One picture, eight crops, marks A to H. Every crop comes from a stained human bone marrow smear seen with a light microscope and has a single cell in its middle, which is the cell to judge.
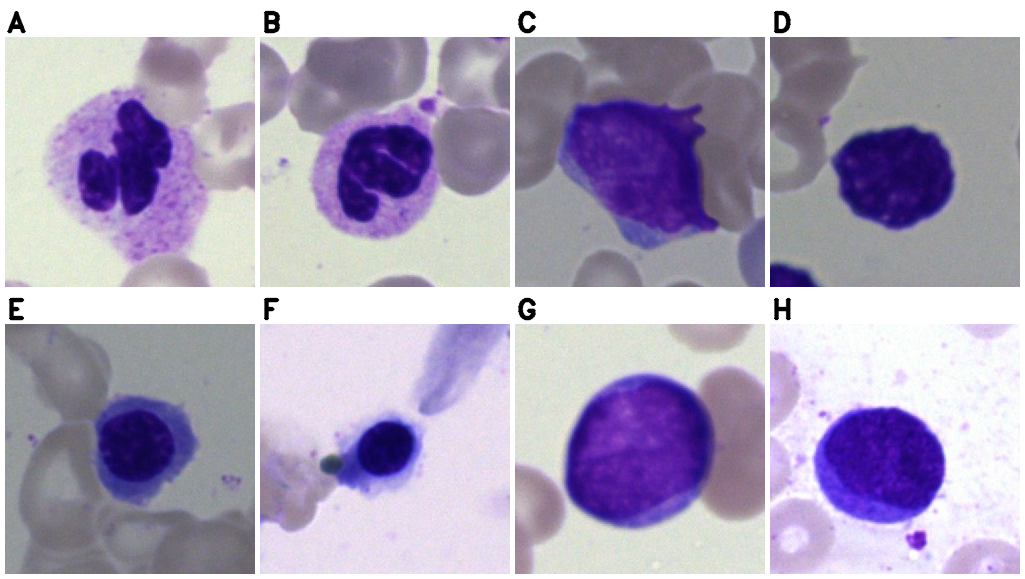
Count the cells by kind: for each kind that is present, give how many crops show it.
blast: 4
segmented neutrophil: 2
erythroblast: 2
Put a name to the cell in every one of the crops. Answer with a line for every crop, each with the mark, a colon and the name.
A: segmented neutrophil
B: segmented neutrophil
C: blast
D: blast
E: erythroblast
F: erythroblast
G: blast
H: blast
